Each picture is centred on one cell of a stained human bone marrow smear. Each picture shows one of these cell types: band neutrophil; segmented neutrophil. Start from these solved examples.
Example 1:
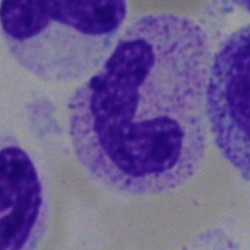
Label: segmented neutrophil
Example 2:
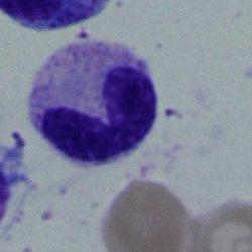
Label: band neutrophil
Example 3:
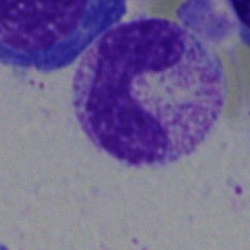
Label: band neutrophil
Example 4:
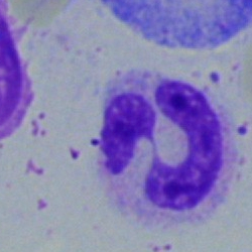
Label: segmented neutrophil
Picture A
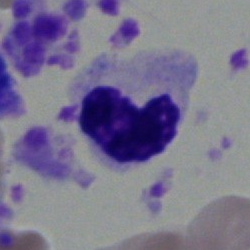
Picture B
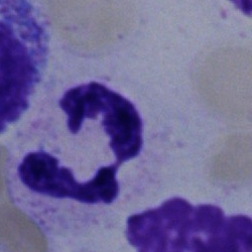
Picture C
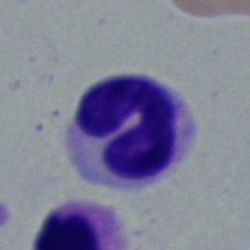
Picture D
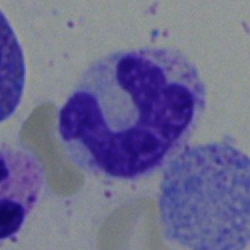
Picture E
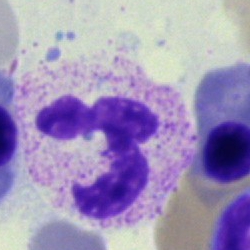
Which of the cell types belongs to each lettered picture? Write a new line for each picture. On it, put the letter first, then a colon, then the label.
A: segmented neutrophil
B: segmented neutrophil
C: band neutrophil
D: band neutrophil
E: segmented neutrophil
